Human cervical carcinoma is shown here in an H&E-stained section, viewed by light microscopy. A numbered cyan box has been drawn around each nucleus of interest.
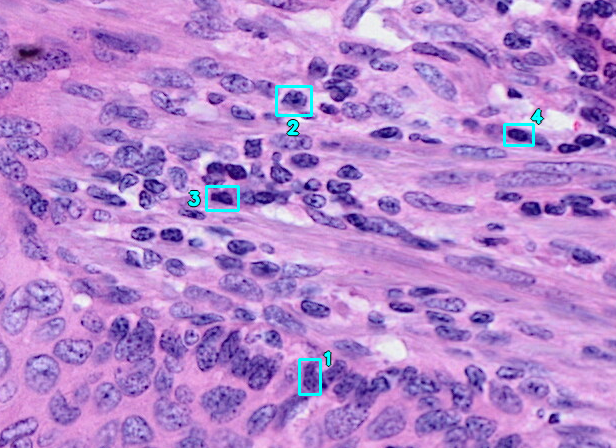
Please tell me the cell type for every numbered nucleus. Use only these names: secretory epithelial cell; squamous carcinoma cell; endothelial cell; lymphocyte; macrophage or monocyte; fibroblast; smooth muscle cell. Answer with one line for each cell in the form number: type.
1: squamous carcinoma cell
2: lymphocyte
3: lymphocyte
4: lymphocyte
